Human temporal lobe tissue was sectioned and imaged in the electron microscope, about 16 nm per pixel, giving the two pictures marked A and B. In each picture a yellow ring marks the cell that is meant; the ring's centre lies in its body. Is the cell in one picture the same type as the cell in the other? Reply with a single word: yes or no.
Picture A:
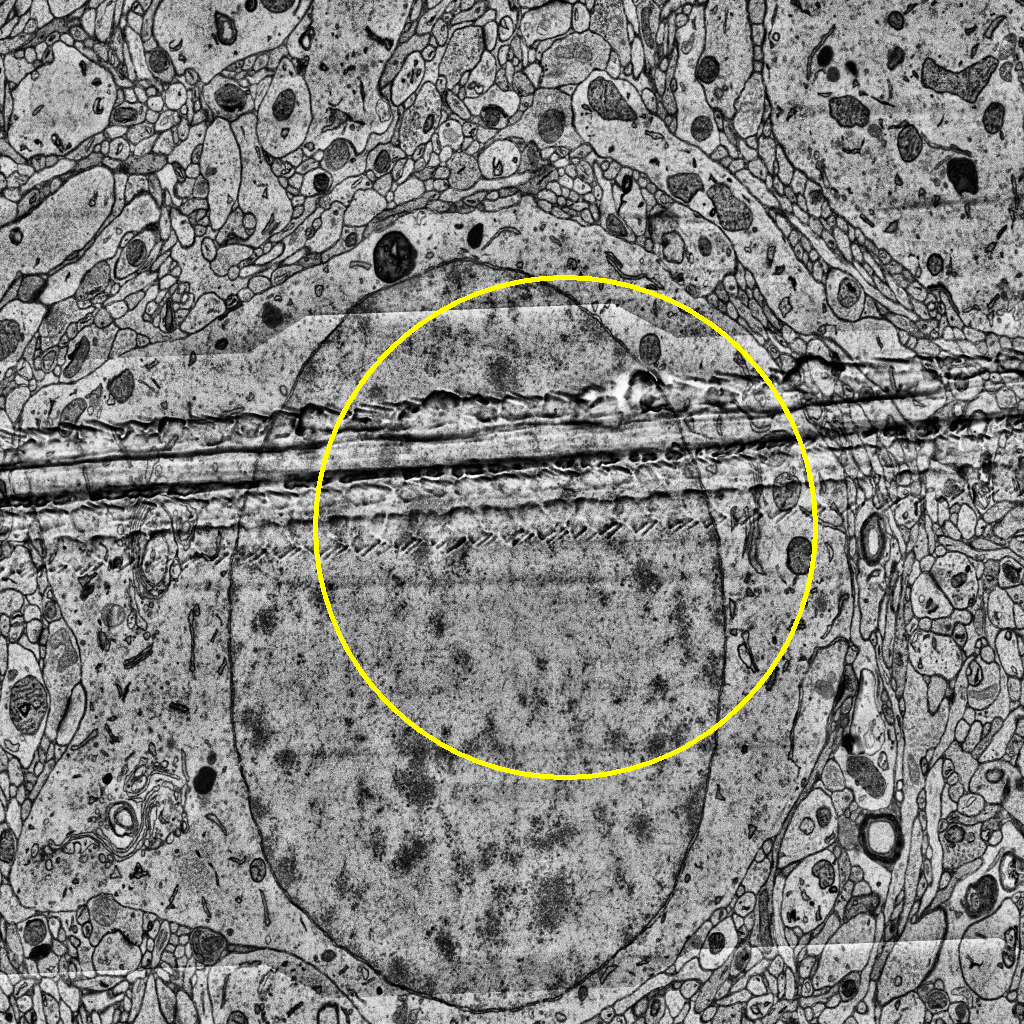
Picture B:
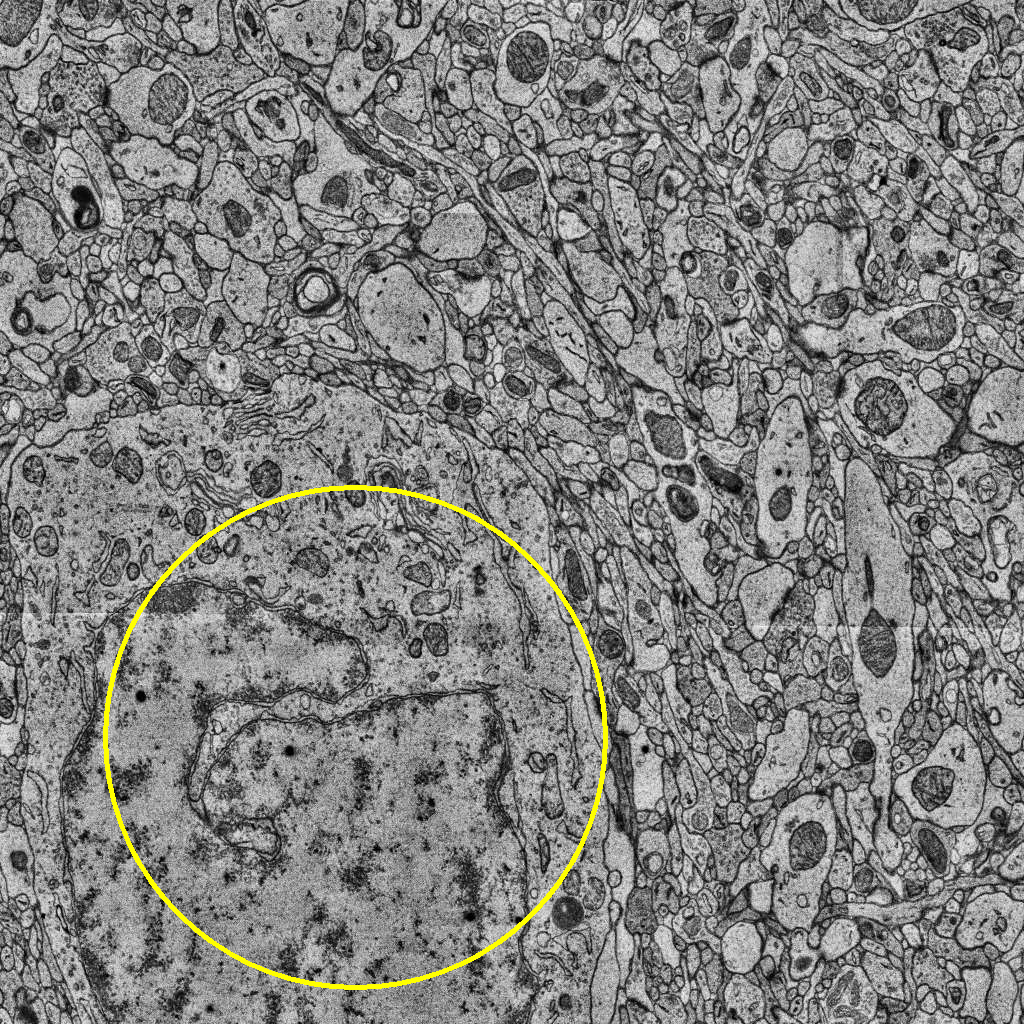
no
